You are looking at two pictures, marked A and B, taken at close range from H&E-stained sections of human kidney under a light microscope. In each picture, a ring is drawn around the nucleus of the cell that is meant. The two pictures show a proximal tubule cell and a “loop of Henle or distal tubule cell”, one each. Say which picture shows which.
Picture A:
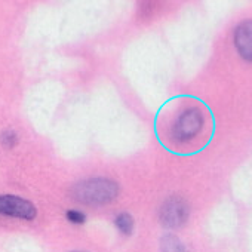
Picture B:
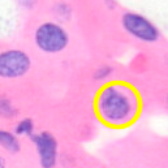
A: proximal tubule cell
B: loop of Henle or distal tubule cell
